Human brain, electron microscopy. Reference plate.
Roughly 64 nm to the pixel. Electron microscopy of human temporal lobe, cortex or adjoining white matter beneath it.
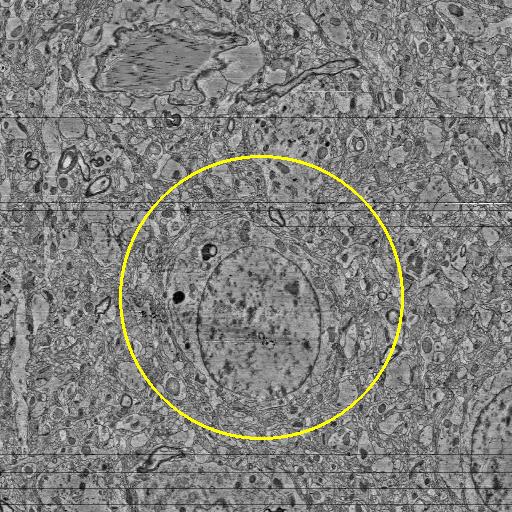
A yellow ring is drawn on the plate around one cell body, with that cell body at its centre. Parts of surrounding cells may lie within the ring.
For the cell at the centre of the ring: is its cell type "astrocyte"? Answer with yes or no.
No, its cell type is another one.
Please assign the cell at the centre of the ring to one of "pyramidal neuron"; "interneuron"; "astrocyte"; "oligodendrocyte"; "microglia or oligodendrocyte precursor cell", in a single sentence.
The cell that the ring is centred on is a pyramidal neuron.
